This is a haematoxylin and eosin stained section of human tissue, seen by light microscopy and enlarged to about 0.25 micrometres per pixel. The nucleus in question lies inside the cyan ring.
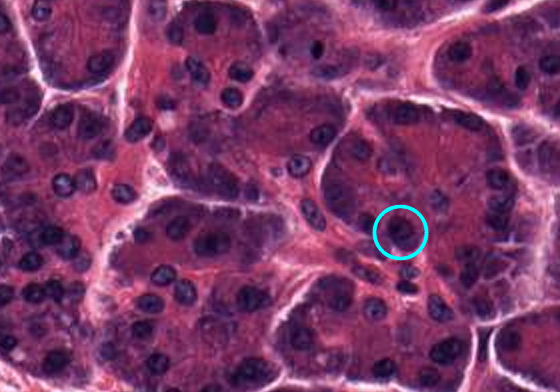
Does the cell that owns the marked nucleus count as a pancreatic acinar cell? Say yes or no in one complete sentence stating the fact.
Yes, the nucleus shown with the mark belongs to a pancreatic acinar cell.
